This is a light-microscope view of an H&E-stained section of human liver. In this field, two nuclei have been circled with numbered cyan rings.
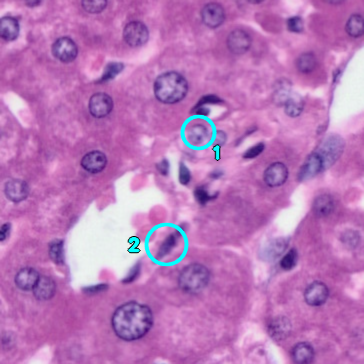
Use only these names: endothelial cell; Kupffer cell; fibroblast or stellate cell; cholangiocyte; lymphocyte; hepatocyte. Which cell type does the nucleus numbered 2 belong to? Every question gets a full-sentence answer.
The cell bearing label 2 corresponds to a fibroblast or stellate cell.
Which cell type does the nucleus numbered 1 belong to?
Cell 1, as marked in the section, is a cholangiocyte.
